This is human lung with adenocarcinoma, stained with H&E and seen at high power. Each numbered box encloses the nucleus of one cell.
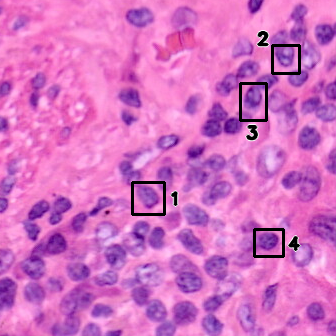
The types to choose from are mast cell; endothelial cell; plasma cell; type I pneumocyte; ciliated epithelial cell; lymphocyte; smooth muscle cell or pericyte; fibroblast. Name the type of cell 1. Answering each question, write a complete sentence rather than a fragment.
The numbered cell 1 is identified here as a mast cell.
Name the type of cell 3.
At number 3, the marked cell is a lymphocyte.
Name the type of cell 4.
Looking at the numbered marks, cell 4 is a lymphocyte.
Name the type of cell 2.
Cell number 2 in this section is a lymphocyte.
